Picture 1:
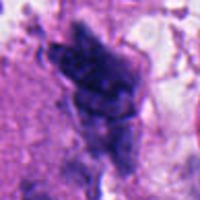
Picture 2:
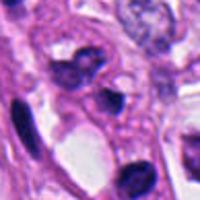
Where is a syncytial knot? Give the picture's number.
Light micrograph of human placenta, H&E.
1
